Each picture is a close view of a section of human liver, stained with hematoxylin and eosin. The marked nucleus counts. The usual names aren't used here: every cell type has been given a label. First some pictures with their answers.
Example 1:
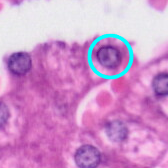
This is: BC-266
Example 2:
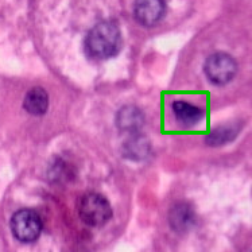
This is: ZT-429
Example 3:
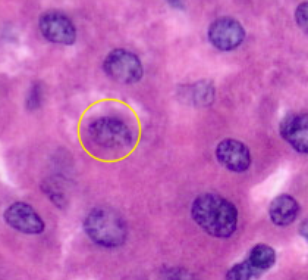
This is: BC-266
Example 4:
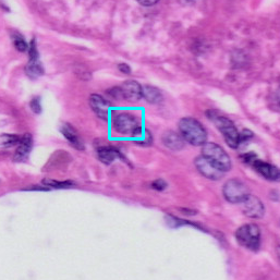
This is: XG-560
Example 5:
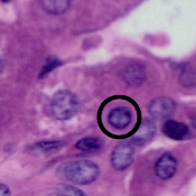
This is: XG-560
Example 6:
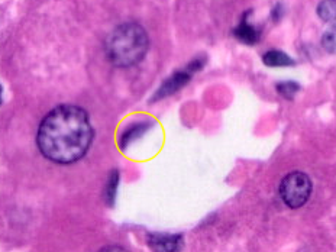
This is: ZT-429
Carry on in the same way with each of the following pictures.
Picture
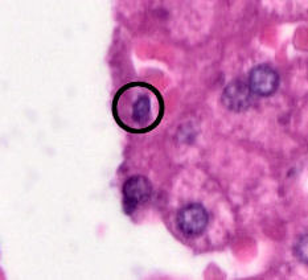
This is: ZT-429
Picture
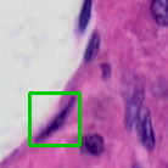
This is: ZT-429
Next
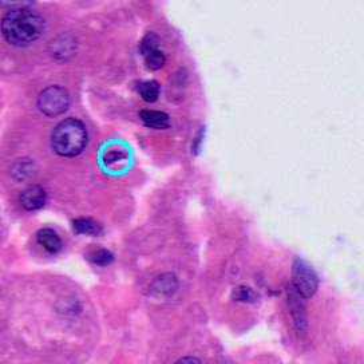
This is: ZT-429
